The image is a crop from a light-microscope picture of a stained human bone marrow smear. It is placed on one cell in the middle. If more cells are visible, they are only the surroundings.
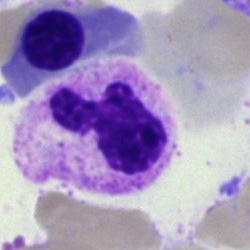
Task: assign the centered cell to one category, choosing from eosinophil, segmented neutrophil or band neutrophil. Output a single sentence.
Looking at the middle of the crop, the cell there is a segmented neutrophil.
